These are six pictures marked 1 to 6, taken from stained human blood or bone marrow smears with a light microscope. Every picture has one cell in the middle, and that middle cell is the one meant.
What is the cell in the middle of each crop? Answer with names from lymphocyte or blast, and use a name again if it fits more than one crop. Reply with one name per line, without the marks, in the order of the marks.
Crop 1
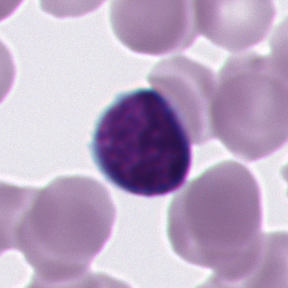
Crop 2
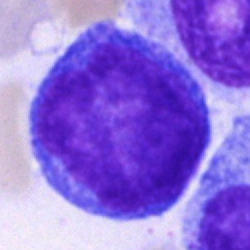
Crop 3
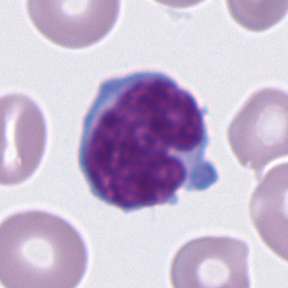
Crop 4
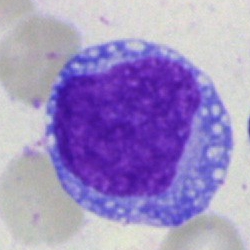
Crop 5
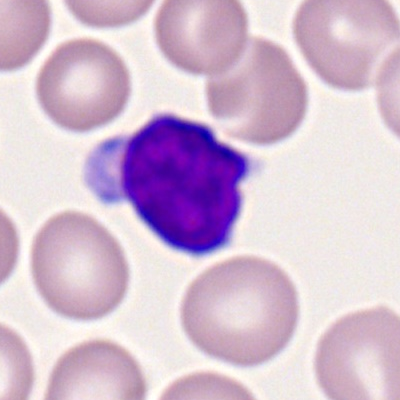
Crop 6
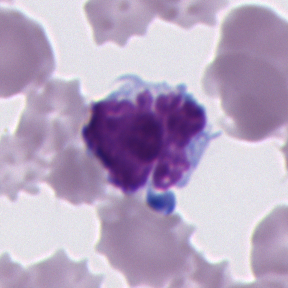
lymphocyte
blast
blast
blast
lymphocyte
lymphocyte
